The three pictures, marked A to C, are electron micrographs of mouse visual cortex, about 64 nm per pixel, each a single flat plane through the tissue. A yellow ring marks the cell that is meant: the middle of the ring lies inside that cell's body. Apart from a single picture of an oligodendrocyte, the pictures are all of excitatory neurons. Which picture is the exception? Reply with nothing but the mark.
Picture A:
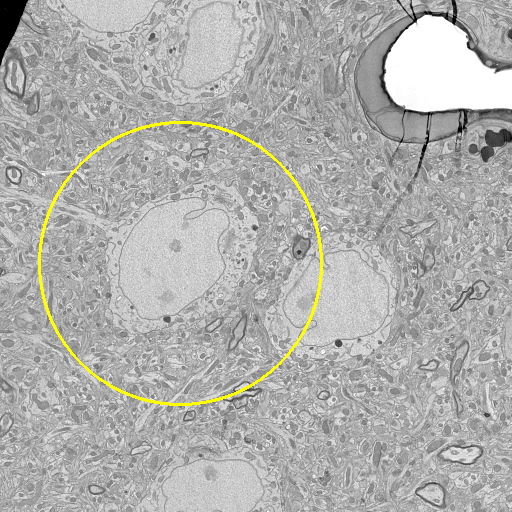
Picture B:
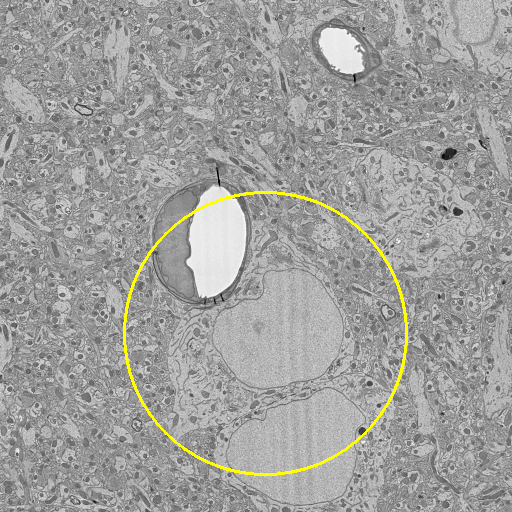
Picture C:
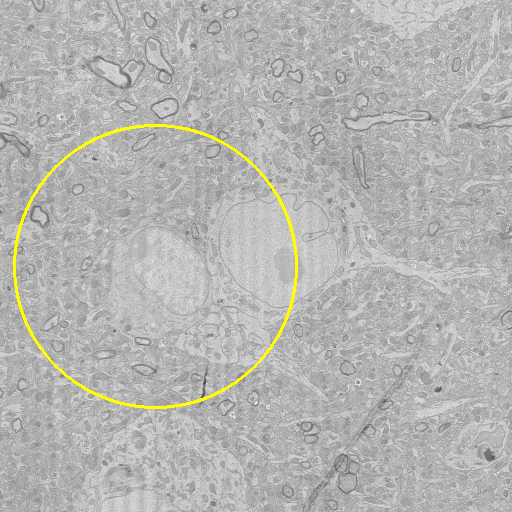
C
